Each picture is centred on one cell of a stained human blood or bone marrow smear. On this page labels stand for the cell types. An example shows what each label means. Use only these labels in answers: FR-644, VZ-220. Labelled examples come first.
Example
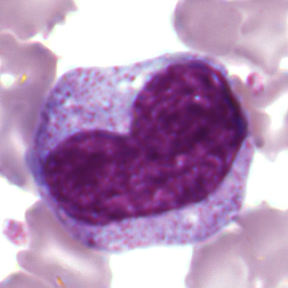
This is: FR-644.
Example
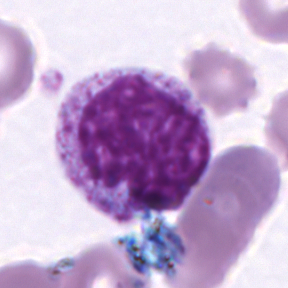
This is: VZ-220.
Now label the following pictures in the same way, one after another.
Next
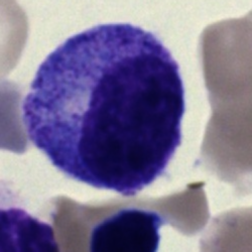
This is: FR-644.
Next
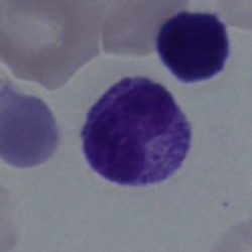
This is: VZ-220.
